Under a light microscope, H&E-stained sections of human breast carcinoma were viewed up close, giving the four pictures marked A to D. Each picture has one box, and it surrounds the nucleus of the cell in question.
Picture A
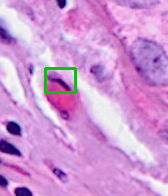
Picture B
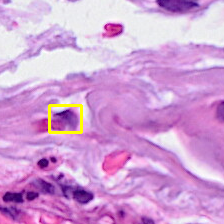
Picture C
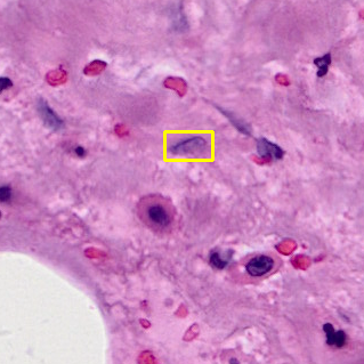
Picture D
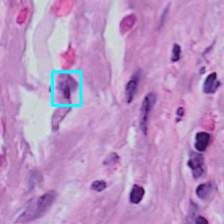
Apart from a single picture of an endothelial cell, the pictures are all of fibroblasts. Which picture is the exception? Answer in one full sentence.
The endothelial cell is the one in picture A.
